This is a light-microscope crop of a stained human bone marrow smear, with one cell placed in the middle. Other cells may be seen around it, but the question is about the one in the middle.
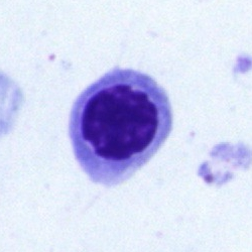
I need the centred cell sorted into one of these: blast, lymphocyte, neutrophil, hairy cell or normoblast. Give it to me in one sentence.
What sits at the centre of this crop is a normoblast.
